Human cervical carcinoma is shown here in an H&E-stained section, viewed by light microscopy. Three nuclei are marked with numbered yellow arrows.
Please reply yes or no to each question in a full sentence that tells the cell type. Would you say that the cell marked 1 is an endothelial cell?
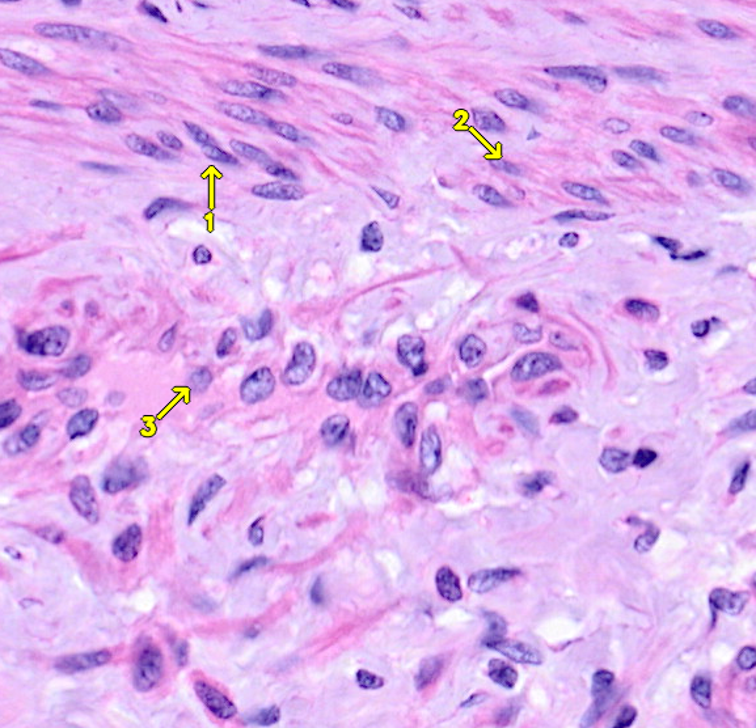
No, that is wrong: cell 1 is a smooth muscle cell, and not an endothelial cell.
